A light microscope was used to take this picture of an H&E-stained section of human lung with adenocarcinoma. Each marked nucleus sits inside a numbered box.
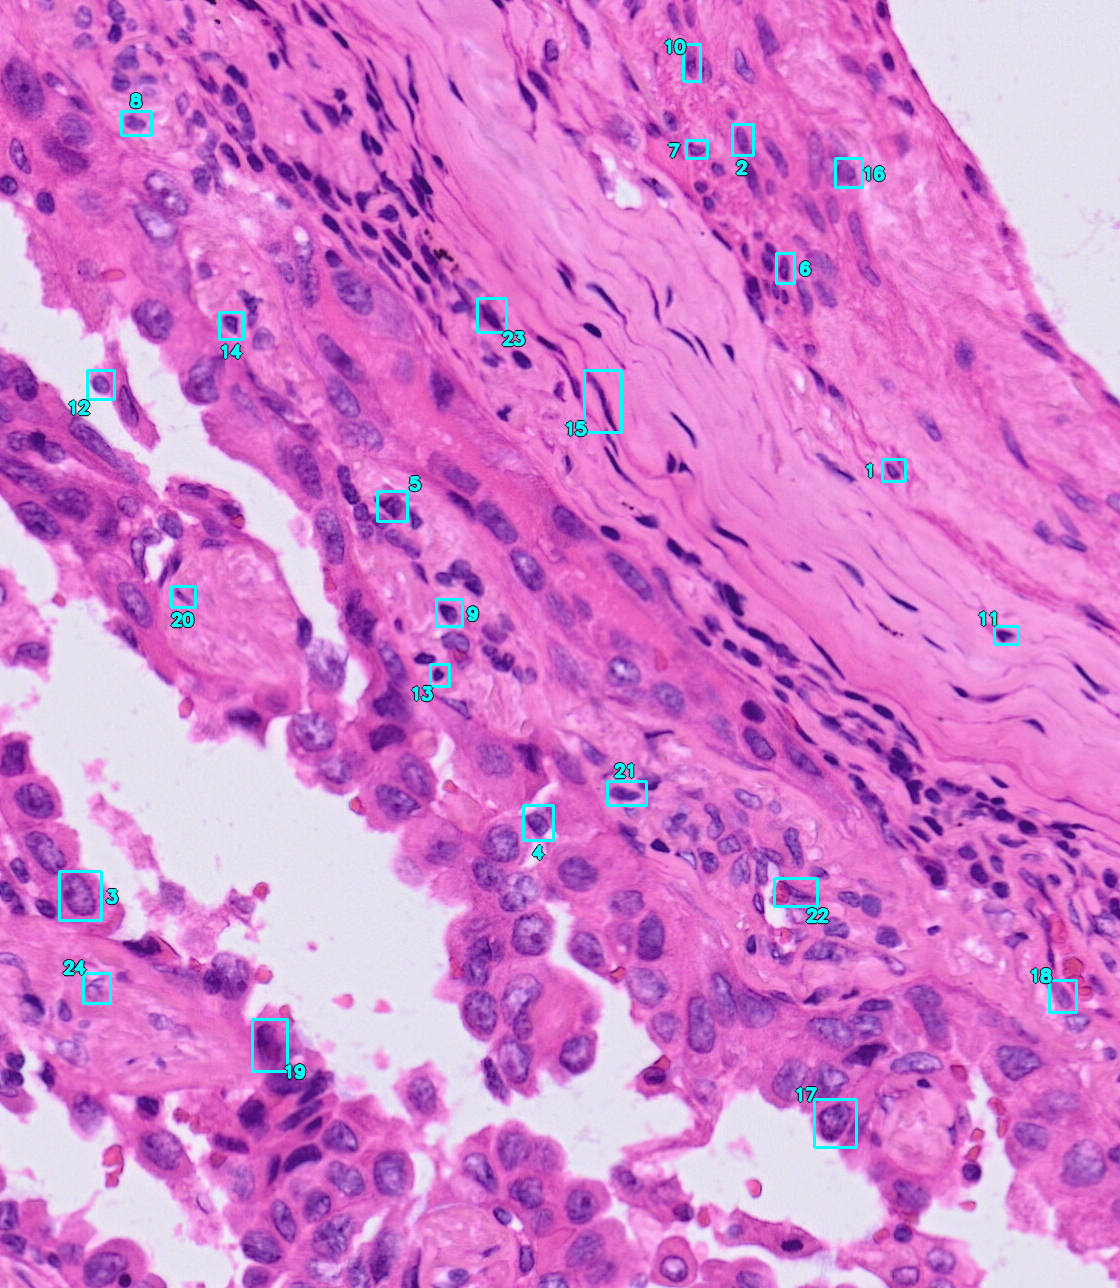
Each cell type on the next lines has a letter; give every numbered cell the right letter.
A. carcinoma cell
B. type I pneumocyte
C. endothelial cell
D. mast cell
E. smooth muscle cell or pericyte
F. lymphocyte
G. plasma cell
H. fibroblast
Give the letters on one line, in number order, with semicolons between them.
E; E; A; F; G; E; E; F; F; E; D; F; F; F; C; E; A; C; A; H; F; C; G; H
